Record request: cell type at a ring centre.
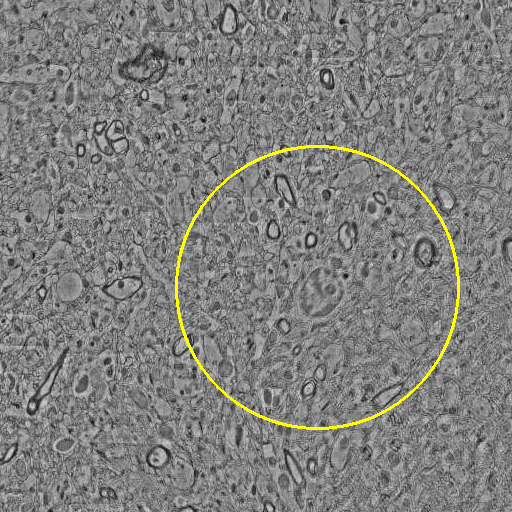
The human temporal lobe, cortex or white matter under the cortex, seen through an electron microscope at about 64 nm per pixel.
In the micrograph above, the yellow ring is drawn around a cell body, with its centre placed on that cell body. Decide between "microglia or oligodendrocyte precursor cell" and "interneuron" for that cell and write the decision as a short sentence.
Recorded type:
The cell centred in the yellow ring is a microglial cell or oligodendrocyte precursor cell.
